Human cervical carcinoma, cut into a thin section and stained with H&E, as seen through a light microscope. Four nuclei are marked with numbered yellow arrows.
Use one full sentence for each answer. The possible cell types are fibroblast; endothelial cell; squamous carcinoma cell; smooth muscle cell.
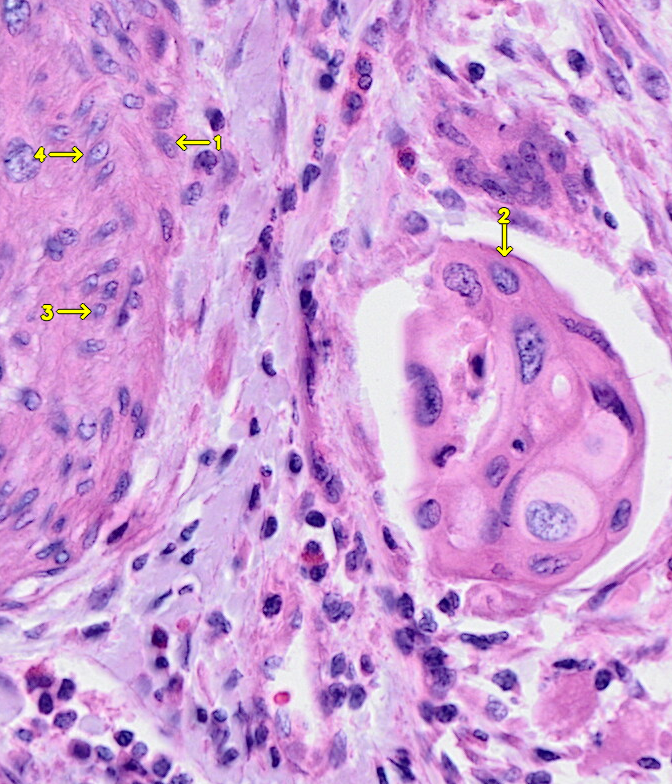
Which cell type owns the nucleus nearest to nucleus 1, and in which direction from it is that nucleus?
A smooth muscle cell lies closest, above nucleus 1.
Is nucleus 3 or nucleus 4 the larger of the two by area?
Number 4 is larger; its area is about 2 times that of number 3.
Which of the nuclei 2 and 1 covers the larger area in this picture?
Of the two, number 2 is bigger and takes up about 2 times the area of number 1.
